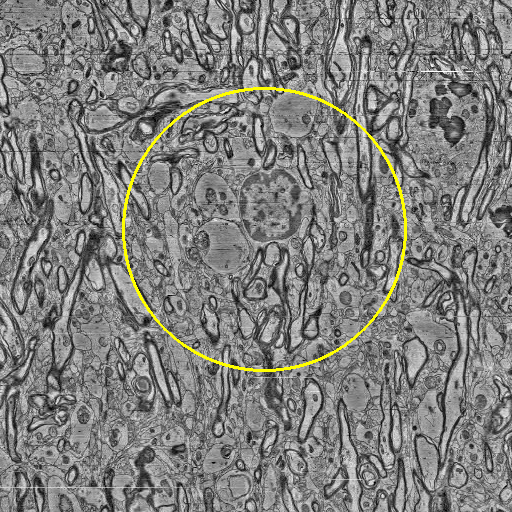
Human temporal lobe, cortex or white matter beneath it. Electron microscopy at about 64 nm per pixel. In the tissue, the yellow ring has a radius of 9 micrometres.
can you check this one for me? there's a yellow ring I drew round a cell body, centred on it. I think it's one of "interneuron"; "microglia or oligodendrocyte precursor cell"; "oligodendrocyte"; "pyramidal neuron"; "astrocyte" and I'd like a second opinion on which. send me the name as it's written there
microglia or oligodendrocyte precursor cell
